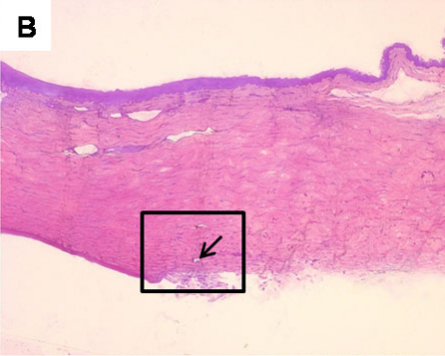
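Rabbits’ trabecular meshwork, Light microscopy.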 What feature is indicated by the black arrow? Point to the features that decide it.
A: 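Schlemm’s canal. The arrow points to a small clear space at the lower edge of the tissue. The space lies inside the boxed region of fibrous tissue.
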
